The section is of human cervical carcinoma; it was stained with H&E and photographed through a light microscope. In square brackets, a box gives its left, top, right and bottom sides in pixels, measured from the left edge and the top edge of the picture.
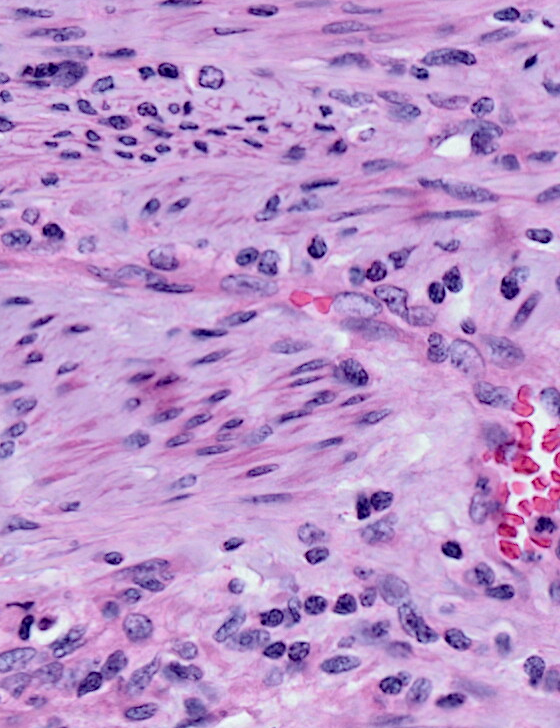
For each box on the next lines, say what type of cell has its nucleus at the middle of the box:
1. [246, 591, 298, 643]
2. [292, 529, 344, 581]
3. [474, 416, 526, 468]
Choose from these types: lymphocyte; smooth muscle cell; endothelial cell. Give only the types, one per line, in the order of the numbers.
lymphocyte
lymphocyte
endothelial cell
